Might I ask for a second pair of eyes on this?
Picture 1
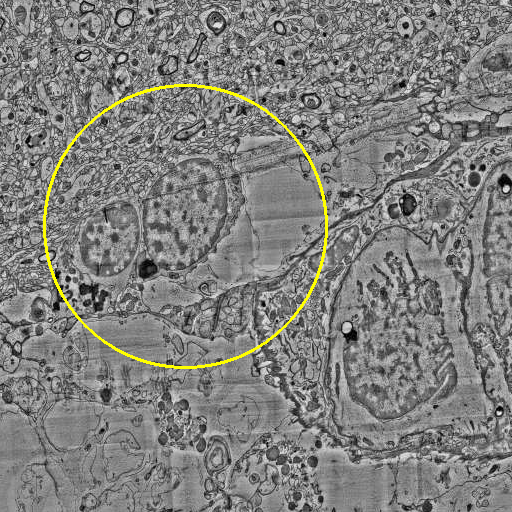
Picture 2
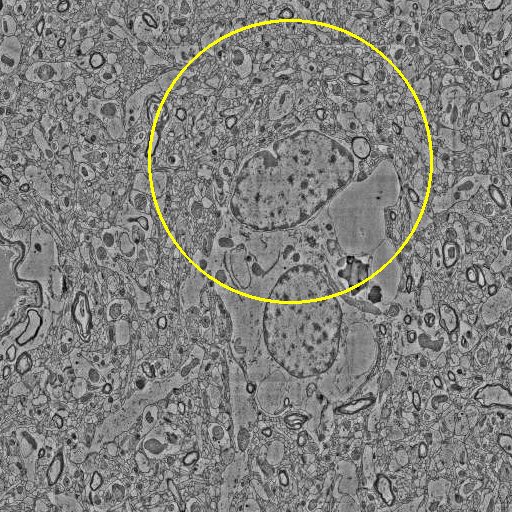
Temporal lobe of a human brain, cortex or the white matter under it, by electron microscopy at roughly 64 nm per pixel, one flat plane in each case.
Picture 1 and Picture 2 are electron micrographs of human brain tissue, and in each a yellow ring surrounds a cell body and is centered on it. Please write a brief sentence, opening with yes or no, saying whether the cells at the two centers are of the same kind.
No, the cells are of two kinds.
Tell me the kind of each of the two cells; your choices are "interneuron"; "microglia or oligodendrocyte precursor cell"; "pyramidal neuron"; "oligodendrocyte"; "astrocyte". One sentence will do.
The ringed cell is an oligodendrocyte in the first picture and a microglial cell or oligodendrocyte precursor cell in the second picture.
